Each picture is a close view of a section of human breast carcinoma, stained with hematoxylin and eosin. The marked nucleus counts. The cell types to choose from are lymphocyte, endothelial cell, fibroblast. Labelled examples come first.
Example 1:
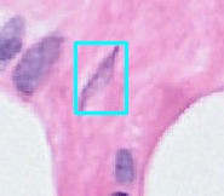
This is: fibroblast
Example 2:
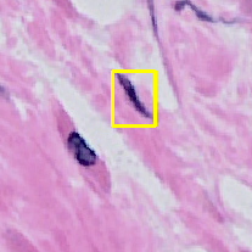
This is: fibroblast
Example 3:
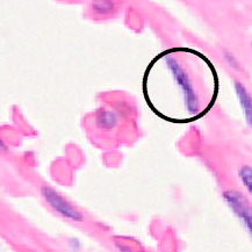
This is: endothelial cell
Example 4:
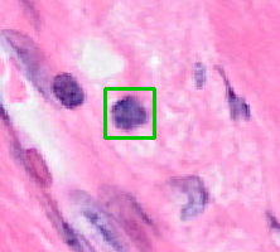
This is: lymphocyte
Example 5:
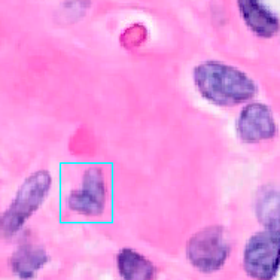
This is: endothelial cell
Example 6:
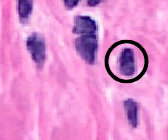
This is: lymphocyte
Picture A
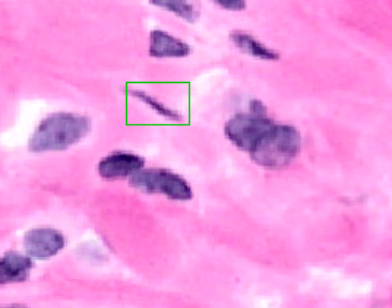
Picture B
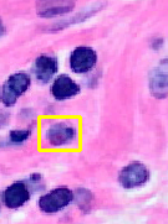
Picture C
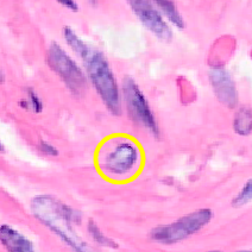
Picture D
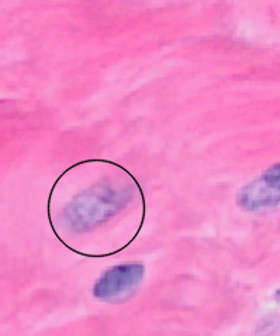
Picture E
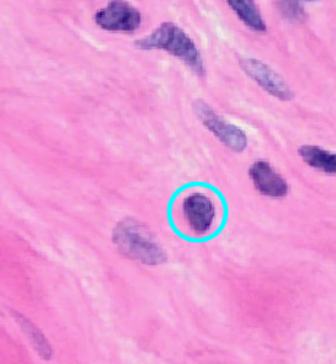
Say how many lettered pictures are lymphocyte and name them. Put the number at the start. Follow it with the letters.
Count: 2 (B, E)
